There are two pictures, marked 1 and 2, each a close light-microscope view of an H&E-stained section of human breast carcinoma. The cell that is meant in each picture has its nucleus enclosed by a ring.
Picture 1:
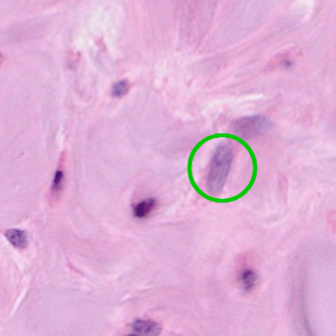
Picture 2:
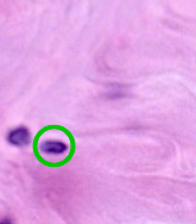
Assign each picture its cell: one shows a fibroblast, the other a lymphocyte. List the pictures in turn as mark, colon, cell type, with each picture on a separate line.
1: fibroblast
2: lymphocyte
